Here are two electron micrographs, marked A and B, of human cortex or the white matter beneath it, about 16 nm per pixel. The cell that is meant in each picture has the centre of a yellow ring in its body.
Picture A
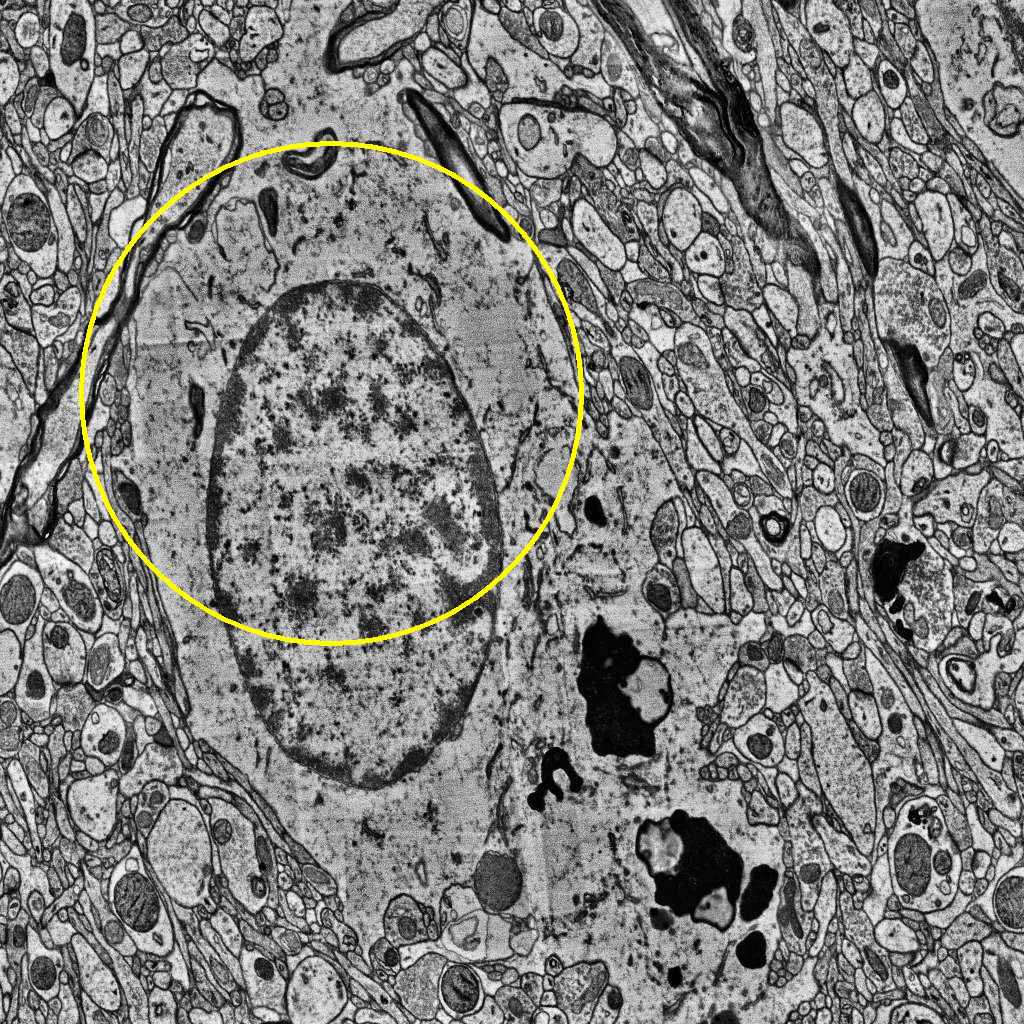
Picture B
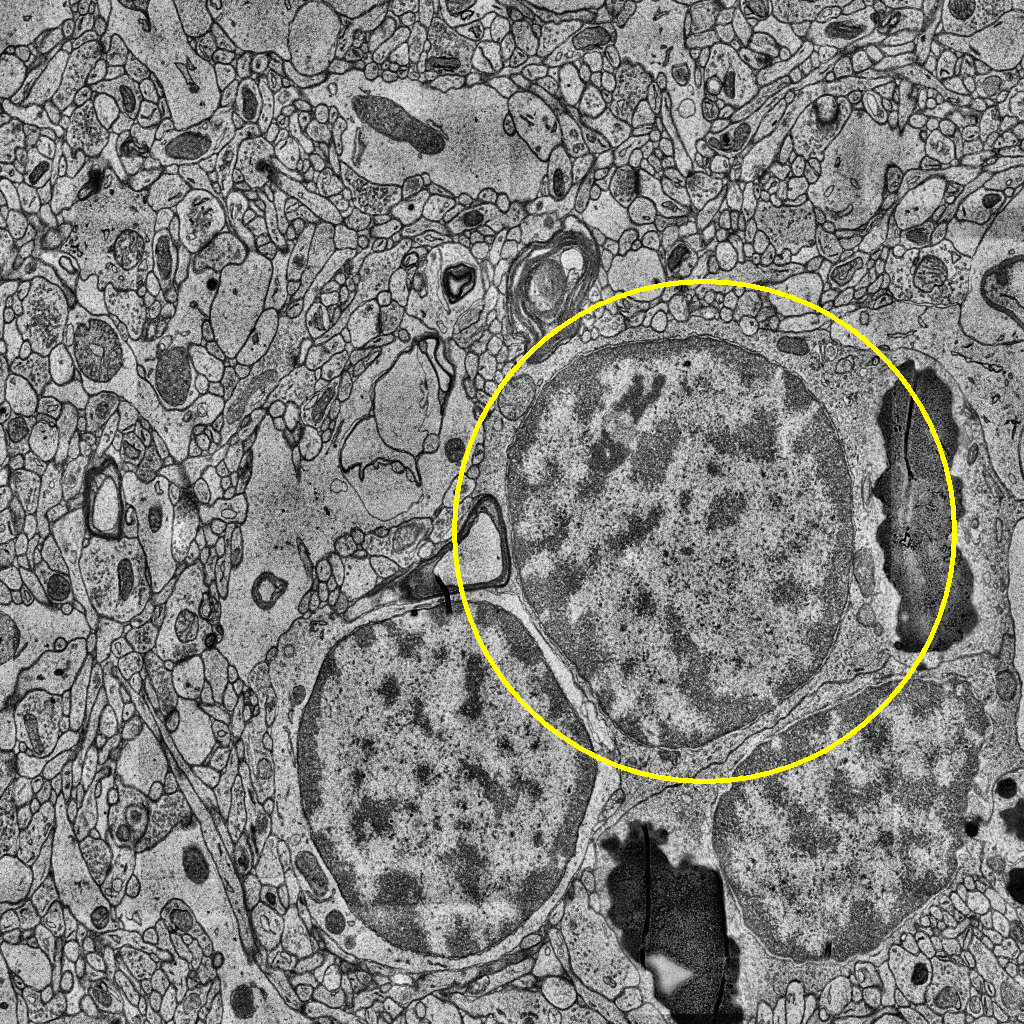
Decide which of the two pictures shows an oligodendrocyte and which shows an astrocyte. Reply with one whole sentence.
The cell in picture A is an astrocyte, and the one in picture B is an oligodendrocyte.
